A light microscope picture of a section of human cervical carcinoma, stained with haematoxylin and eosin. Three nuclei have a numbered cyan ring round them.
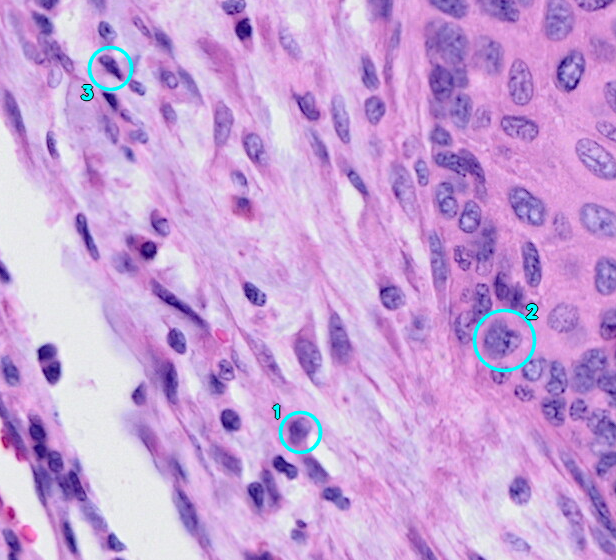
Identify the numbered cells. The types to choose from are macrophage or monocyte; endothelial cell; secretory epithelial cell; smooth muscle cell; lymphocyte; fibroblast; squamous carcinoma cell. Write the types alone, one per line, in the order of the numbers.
macrophage or monocyte
squamous carcinoma cell
lymphocyte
